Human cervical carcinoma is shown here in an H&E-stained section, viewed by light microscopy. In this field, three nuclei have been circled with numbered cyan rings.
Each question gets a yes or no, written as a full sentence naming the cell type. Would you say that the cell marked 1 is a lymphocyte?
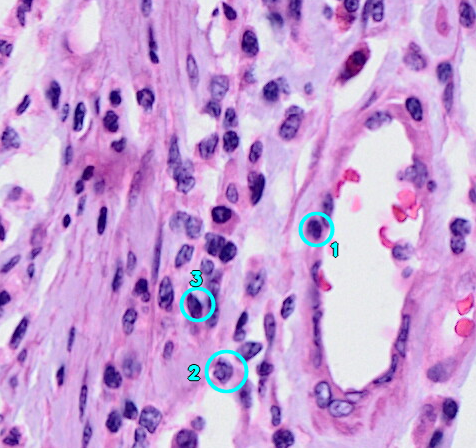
No, a lymphocyte is not what cell 1 is; it is an endothelial cell.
